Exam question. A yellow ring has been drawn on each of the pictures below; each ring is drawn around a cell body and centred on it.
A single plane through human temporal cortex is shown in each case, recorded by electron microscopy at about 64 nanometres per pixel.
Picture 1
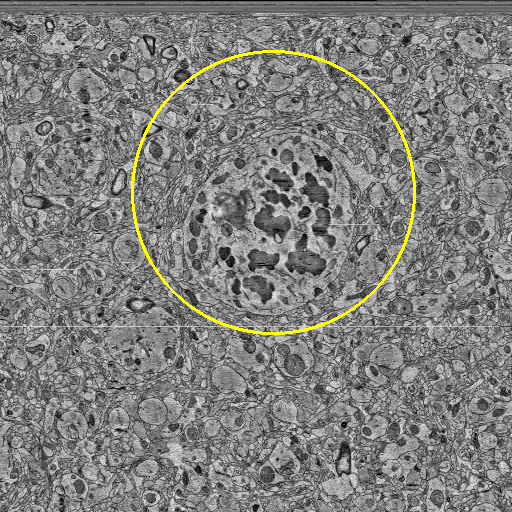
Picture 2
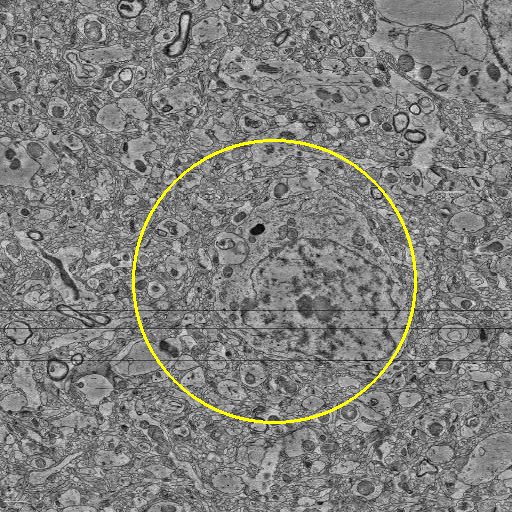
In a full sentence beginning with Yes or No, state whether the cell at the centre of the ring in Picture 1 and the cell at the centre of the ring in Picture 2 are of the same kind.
Yes, the two cells are of the same kind.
